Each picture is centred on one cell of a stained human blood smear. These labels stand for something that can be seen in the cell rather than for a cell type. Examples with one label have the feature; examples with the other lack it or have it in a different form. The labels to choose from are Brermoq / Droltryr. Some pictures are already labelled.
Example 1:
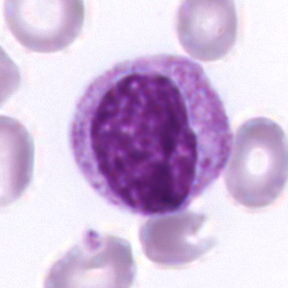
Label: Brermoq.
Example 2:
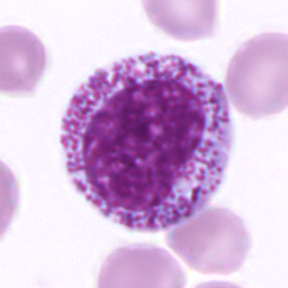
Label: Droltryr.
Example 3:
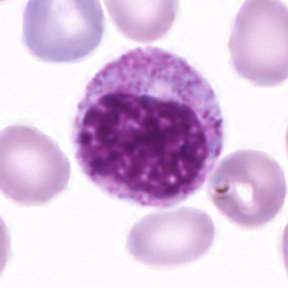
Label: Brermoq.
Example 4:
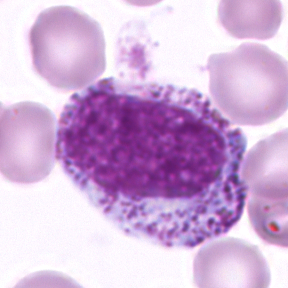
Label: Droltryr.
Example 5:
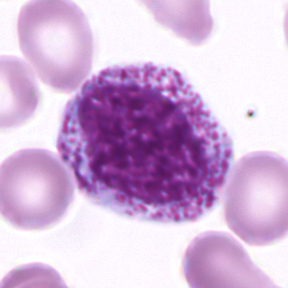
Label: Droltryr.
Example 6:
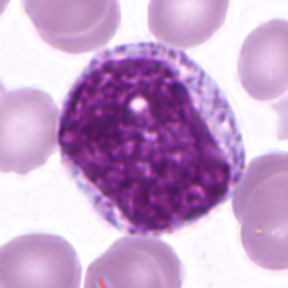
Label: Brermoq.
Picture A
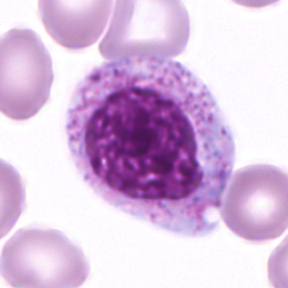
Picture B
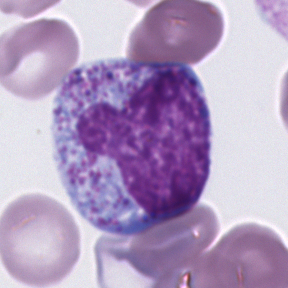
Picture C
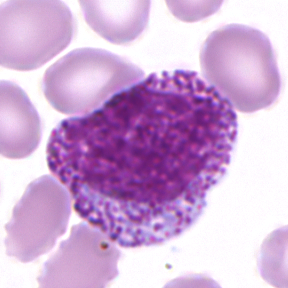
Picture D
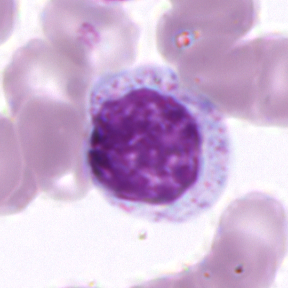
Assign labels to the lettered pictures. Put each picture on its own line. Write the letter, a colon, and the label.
A: Brermoq.
B: Brermoq.
C: Droltryr.
D: Brermoq.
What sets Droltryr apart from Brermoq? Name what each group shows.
Seen in Droltryr: coarse or large granules; seen in Brermoq: fine or small granules.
